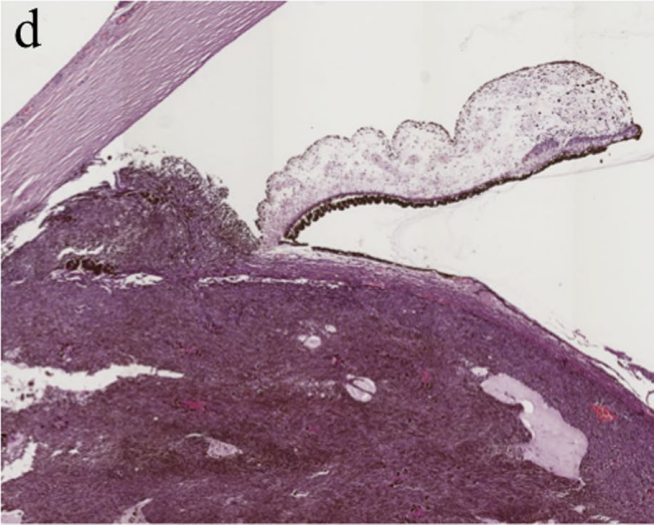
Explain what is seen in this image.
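This is the edge of a pigmented intraocular tumour where it meets the ciliary body. The lower part is a dense, solid sheet of crowded, darkly purple-staining tumour cells, broken by a few pale, empty-looking spaces and clefts. Along the tumour's upper border there are clumps of dark brown pigment. At upper right a pale, loose, finger-like fold of tissue rises from the tumour surface; it is covered on one side by a single continuous row of dark brown pigmented epithelial cells. At upper left a band of pink, parallel, fibrous tissue runs diagonally across the corner.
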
